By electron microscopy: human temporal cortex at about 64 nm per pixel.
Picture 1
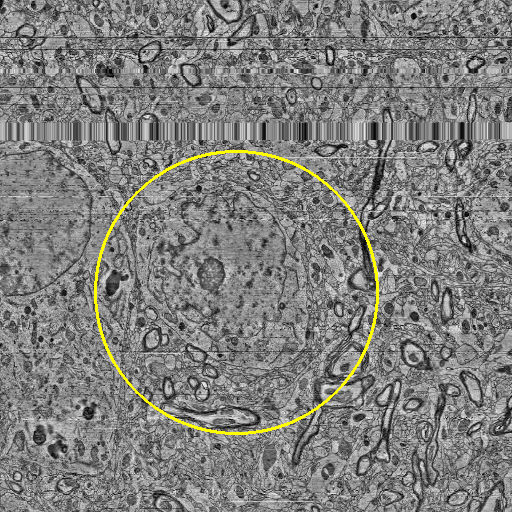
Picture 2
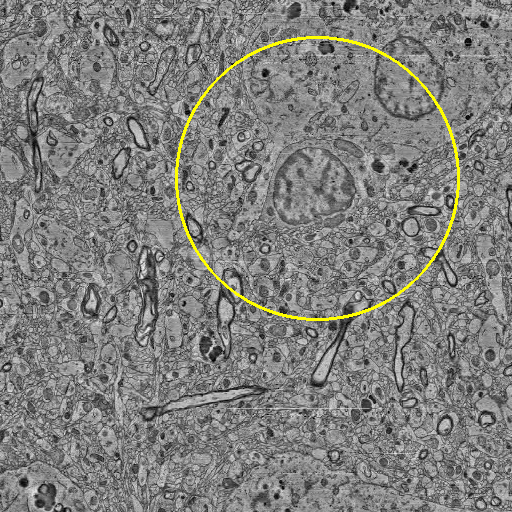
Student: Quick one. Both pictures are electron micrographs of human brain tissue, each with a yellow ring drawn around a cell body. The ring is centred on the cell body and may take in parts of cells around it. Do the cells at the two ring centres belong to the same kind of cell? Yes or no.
no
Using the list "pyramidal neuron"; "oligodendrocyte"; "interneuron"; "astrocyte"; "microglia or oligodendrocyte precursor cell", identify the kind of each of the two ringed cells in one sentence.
The first is an interneuron and the second is an oligodendrocyte.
